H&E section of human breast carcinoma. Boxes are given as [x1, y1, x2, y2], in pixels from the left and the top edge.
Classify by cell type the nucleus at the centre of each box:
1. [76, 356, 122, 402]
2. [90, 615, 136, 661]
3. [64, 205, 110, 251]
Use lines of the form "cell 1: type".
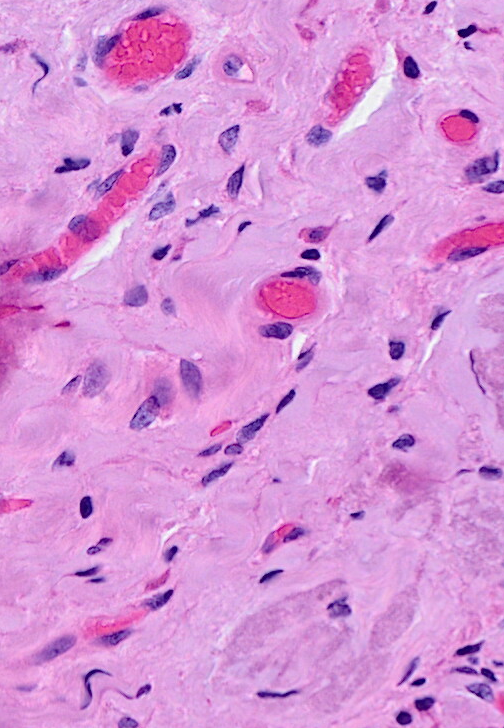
cell 1: fibroblast
cell 2: endothelial cell
cell 3: endothelial cell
